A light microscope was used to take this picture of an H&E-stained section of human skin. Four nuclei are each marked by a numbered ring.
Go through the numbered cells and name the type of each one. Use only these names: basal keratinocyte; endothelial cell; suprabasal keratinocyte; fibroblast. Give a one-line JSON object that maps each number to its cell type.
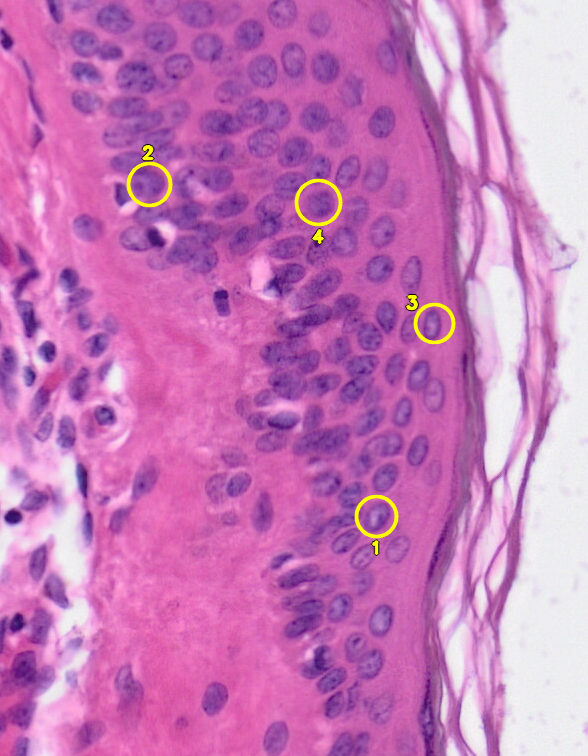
{"1": "suprabasal keratinocyte", "2": "basal keratinocyte", "3": "suprabasal keratinocyte", "4": "suprabasal keratinocyte"}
